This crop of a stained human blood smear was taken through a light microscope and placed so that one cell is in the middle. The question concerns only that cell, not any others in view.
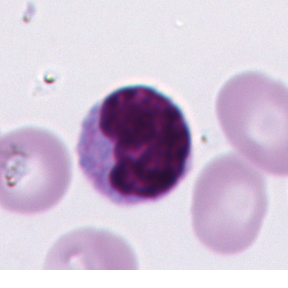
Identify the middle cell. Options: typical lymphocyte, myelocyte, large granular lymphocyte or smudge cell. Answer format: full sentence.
The middle of this crop is occupied by a large granular lymphocyte.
